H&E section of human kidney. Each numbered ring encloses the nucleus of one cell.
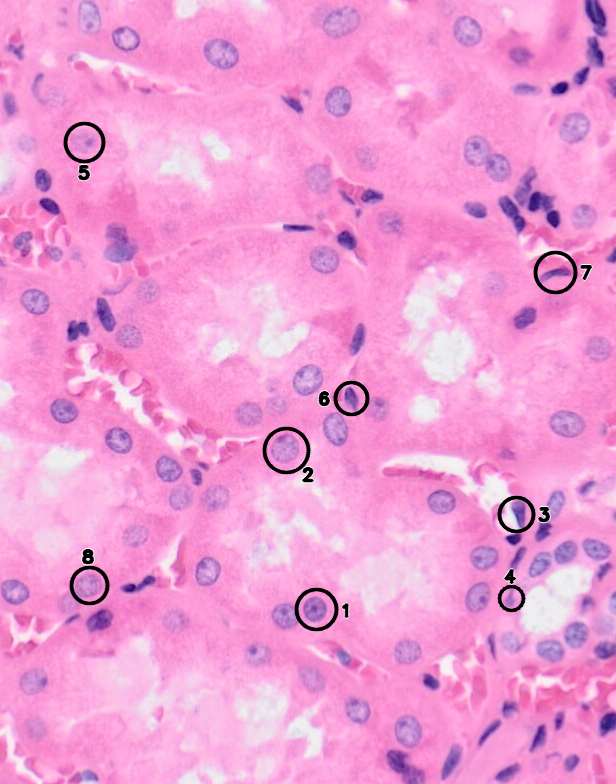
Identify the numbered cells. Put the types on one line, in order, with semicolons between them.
proximal tubule cell; proximal tubule cell; endothelial cell; collecting duct cell; proximal tubule cell; endothelial cell; endothelial cell; proximal tubule cell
